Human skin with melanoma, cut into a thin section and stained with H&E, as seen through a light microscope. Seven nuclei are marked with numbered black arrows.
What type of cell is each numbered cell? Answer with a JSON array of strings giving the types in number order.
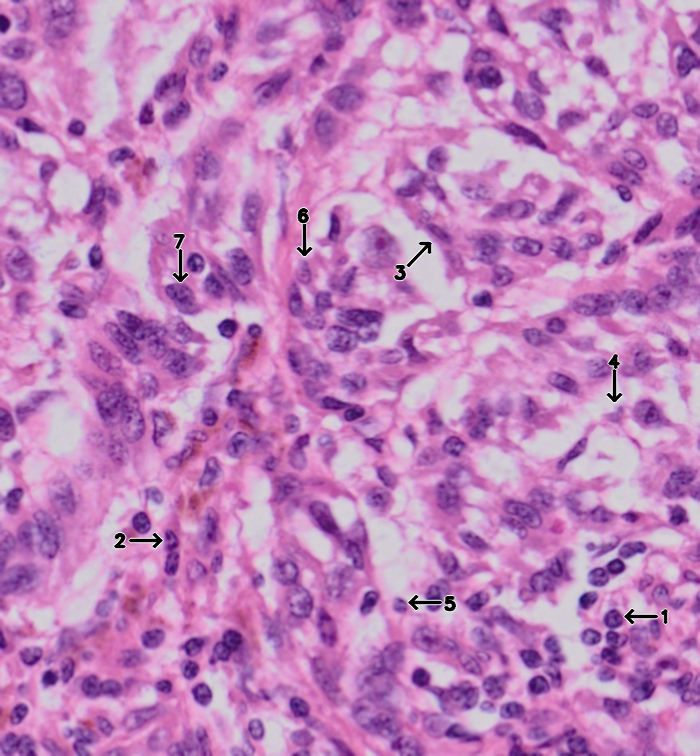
["lymphocyte", "plasma cell", "melanoma cell", "melanoma cell", "lymphocyte", "melanoma cell", "melanoma cell"]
